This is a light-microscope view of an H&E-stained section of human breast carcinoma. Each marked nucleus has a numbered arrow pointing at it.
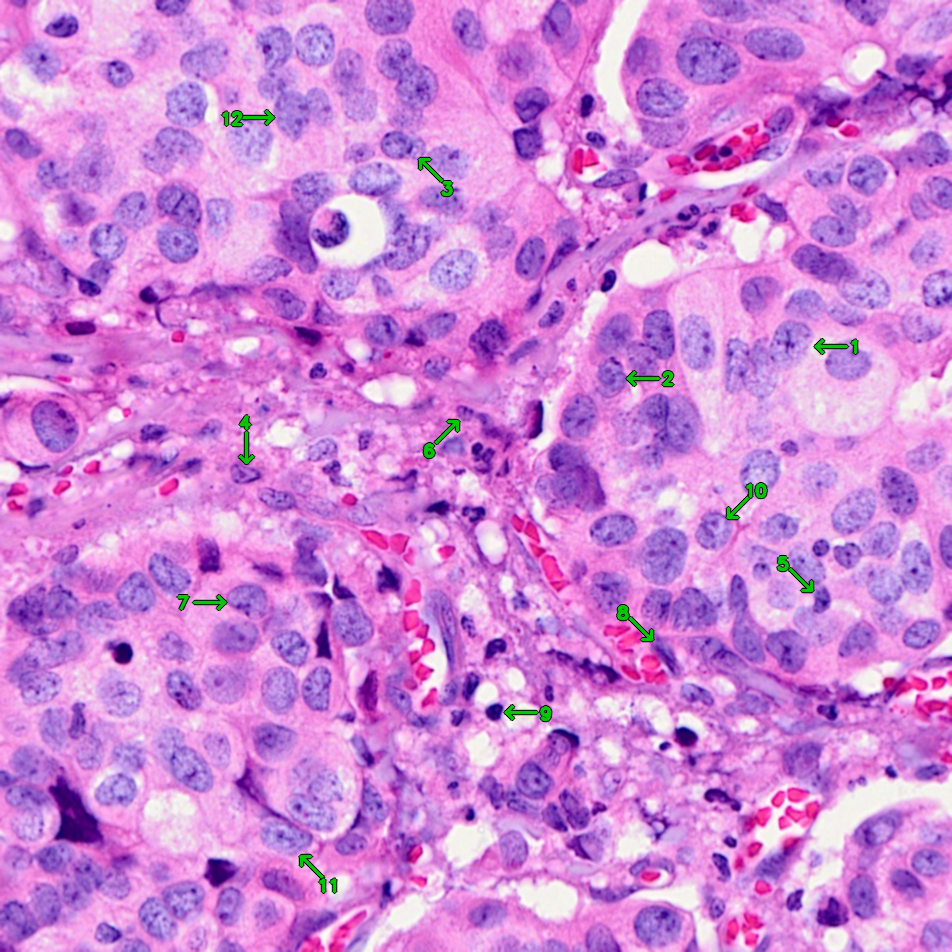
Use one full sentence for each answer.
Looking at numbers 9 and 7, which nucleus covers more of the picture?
Nucleus 7 is larger, with an area about 3 times that of nucleus 9.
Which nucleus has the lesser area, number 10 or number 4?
Nucleus 4 is the smaller one; nucleus 10 covers about 2 times its area.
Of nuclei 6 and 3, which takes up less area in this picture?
It is nucleus 6; nucleus 3 has about 3 times its area.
